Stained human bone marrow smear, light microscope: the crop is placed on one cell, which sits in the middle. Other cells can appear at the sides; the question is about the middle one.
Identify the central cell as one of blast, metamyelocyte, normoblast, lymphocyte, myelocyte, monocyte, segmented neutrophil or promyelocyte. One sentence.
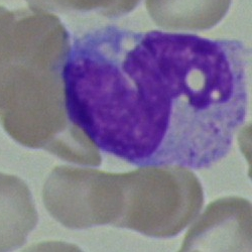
Answering briefly, the cell in the middle is a monocyte.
